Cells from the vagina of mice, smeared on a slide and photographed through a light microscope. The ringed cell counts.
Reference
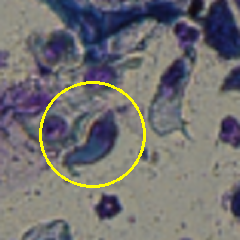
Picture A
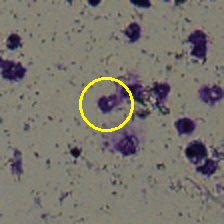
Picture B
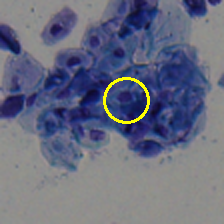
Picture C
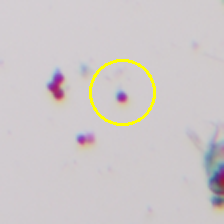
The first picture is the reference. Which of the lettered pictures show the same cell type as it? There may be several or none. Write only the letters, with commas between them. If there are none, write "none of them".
B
